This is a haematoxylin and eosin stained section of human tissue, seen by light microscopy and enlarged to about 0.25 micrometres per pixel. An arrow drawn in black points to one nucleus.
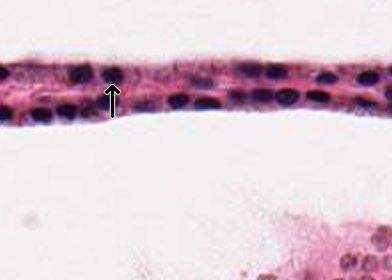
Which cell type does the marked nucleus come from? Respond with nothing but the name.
thyroid follicular cell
